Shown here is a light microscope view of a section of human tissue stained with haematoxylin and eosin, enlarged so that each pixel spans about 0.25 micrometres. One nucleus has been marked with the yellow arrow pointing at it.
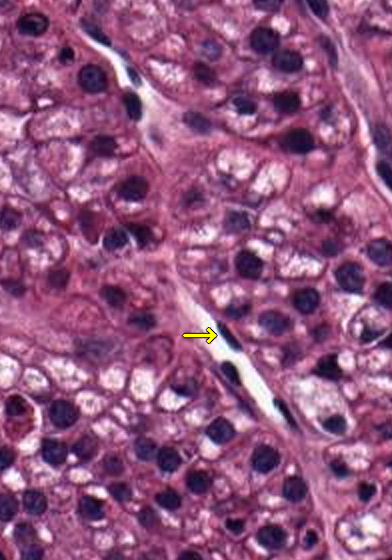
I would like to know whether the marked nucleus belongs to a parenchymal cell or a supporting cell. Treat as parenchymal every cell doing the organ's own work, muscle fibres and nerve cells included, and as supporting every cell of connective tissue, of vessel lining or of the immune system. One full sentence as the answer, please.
Forming part of a supporting cell is the marked nucleus.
